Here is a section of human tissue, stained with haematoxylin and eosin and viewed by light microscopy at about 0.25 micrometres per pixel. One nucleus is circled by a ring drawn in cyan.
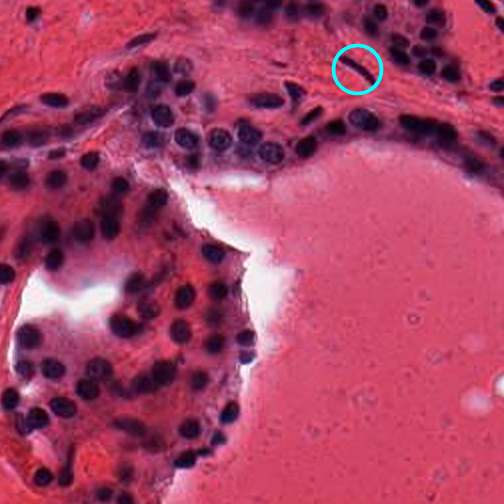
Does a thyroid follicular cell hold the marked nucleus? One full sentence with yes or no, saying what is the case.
No, the marked nucleus, which belongs to a supporting cell, is not part of a thyroid follicular cell.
